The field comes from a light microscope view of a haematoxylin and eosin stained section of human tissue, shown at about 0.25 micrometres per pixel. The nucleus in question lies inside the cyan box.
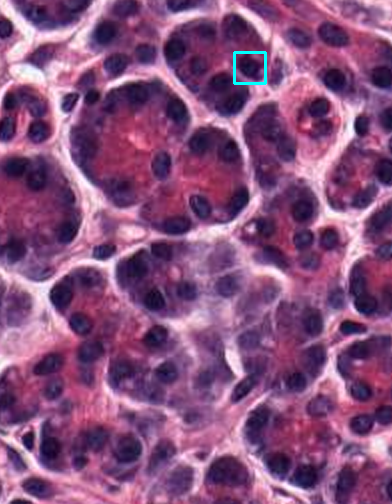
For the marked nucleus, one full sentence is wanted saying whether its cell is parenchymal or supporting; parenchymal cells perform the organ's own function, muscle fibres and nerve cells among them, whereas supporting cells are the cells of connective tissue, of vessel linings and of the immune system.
The parenchymal cell to which the marked nucleus belongs is a pancreatic acinar cell.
